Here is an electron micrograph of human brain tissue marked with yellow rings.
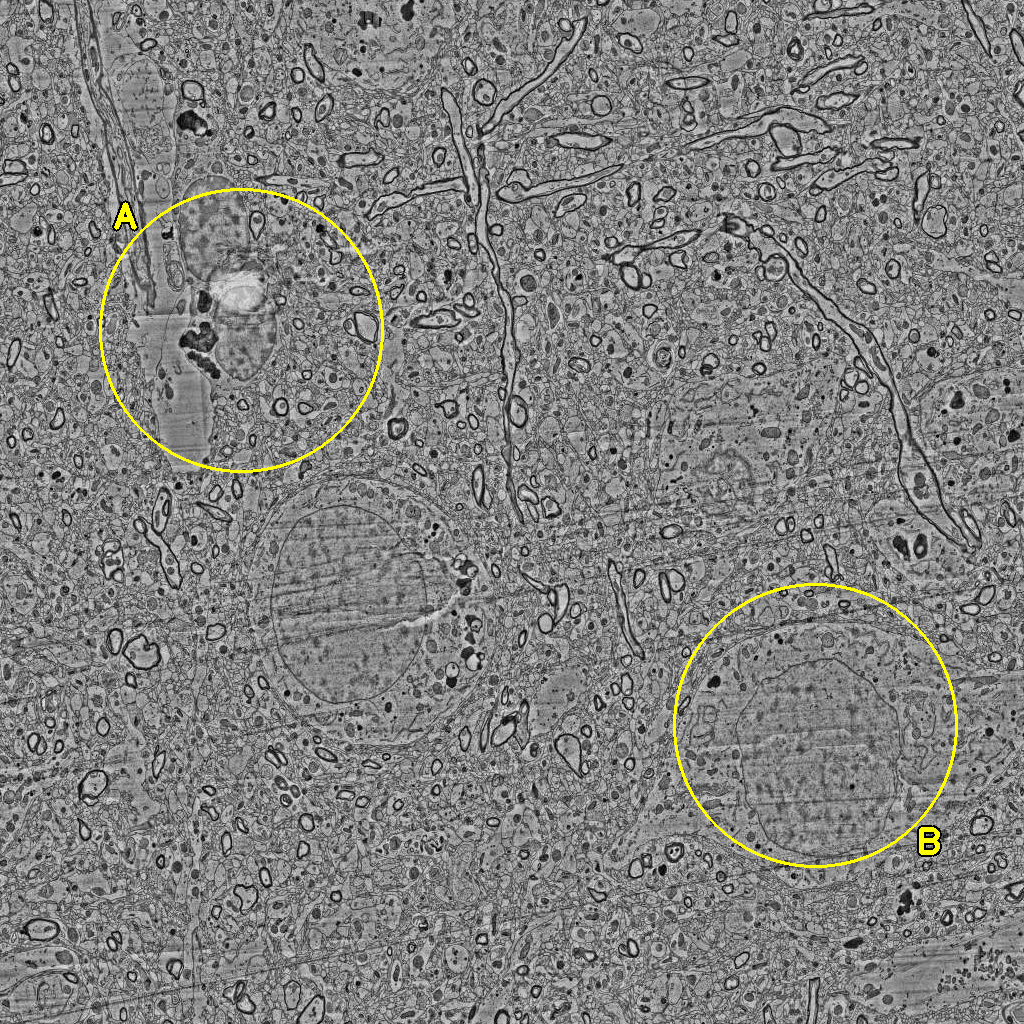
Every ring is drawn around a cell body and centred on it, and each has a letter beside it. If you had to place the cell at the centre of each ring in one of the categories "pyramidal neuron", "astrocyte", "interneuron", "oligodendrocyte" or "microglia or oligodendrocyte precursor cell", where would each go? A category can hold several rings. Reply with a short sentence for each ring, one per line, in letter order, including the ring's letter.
The centre of ring A holds an oligodendrocyte.
The centre of ring B holds a pyramidal neuron.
